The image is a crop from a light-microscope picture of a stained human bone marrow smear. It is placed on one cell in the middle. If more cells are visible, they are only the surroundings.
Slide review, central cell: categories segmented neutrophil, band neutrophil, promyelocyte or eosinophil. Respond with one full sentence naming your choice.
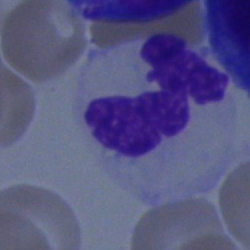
Within this crop, a segmented neutrophil occupies the central position.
